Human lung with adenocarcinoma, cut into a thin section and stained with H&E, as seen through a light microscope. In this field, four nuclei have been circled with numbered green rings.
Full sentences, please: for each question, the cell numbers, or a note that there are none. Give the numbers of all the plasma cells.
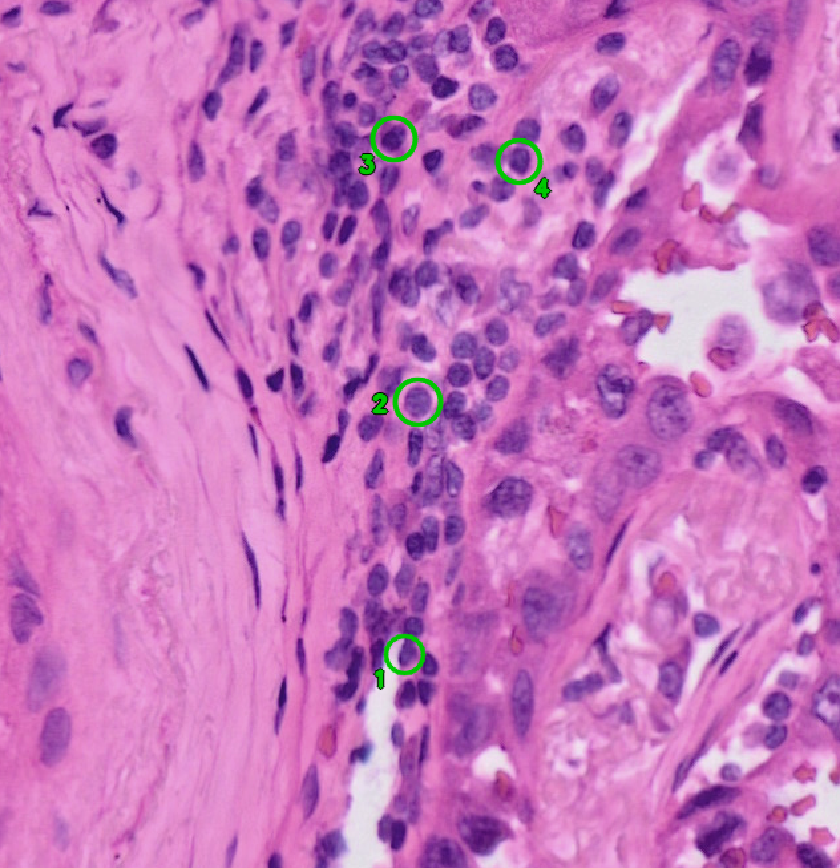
Of all the numbered cells, only one is a plasma cell, and that is cell 3.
